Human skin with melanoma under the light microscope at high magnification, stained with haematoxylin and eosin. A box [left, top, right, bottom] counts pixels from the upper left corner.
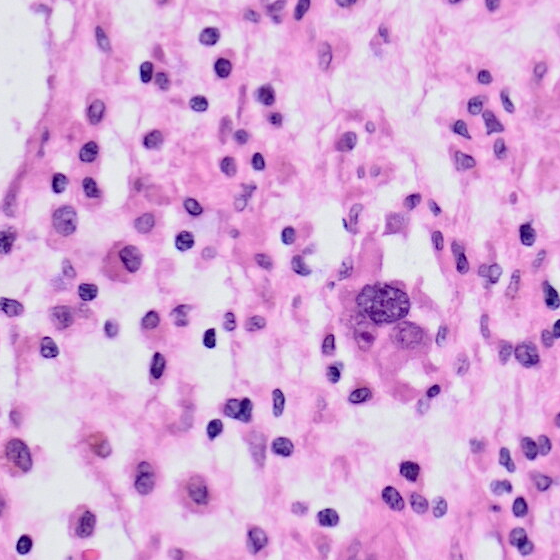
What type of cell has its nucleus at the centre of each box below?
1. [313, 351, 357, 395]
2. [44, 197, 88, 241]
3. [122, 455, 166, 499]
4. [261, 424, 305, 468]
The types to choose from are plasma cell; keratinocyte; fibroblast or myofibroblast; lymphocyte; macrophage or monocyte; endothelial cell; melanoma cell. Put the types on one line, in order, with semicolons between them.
lymphocyte; macrophage or monocyte; macrophage or monocyte; lymphocyte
